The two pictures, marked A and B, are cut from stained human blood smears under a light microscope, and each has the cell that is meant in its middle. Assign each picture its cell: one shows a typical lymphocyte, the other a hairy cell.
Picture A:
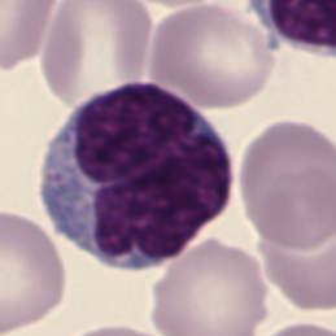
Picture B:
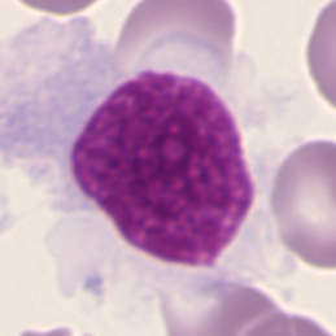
A: typical lymphocyte
B: hairy cell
